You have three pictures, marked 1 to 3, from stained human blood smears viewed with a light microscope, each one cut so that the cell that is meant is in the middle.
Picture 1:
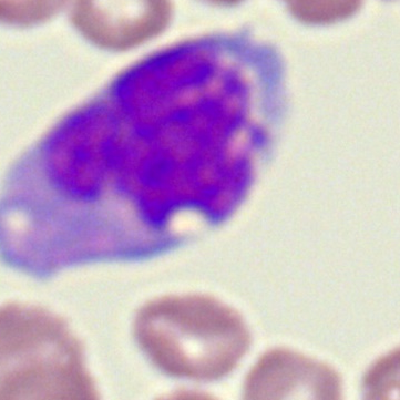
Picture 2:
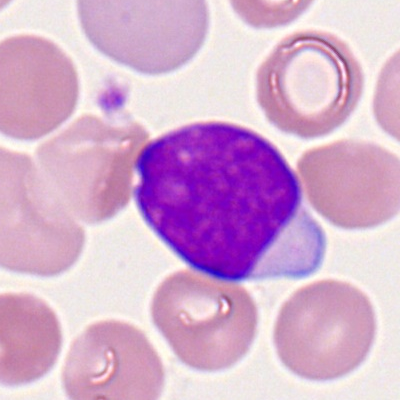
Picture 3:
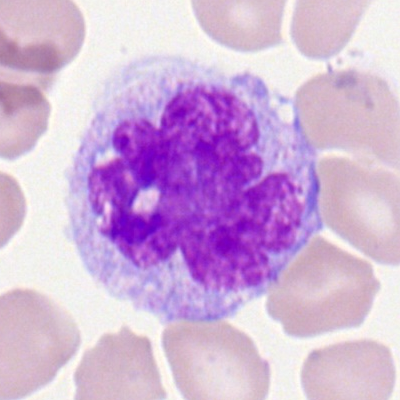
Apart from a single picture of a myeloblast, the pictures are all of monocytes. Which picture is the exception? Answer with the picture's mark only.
2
